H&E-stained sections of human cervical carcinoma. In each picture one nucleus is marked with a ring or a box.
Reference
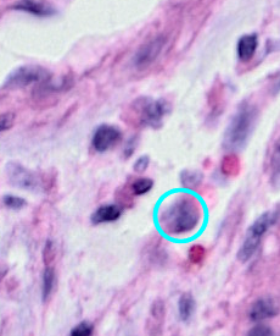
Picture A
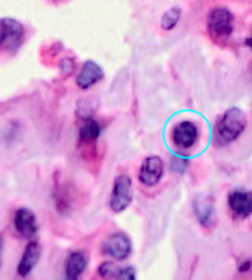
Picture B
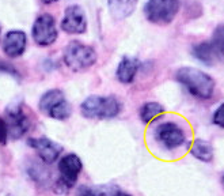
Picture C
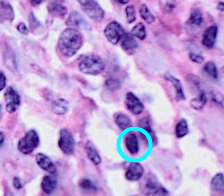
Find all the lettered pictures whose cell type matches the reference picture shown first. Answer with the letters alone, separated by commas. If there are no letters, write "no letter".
no letter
